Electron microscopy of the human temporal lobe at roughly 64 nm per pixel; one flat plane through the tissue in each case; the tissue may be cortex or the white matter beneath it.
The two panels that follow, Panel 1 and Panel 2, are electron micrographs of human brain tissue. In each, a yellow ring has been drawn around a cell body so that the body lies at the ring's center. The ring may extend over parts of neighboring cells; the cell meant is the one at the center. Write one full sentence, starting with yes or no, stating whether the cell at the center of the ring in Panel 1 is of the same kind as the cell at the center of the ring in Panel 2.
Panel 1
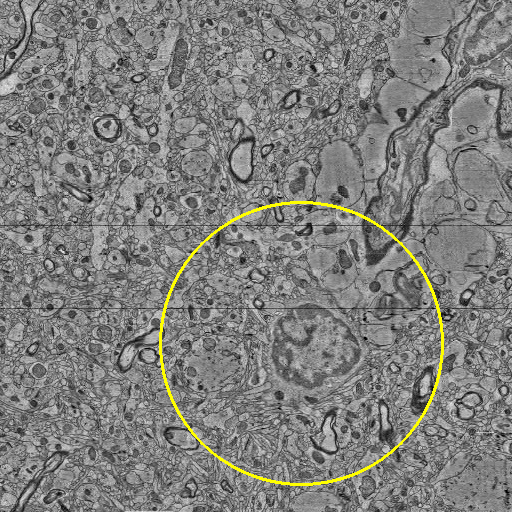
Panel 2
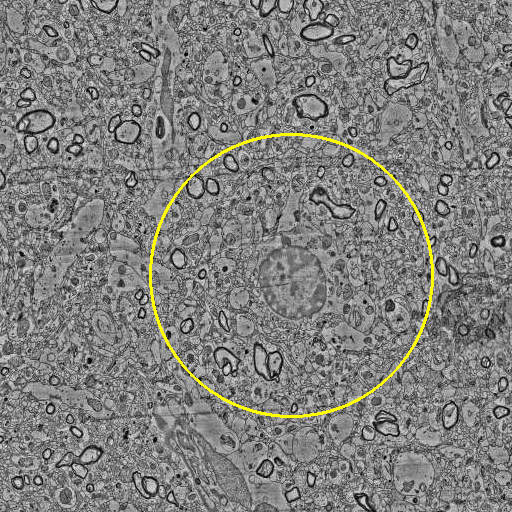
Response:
Yes, the cells in both panels are of the same kind.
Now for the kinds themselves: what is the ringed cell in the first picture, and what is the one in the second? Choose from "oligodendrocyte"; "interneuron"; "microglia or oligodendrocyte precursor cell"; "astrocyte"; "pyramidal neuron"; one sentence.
Both pictures show an oligodendrocyte at the centre of the ring.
